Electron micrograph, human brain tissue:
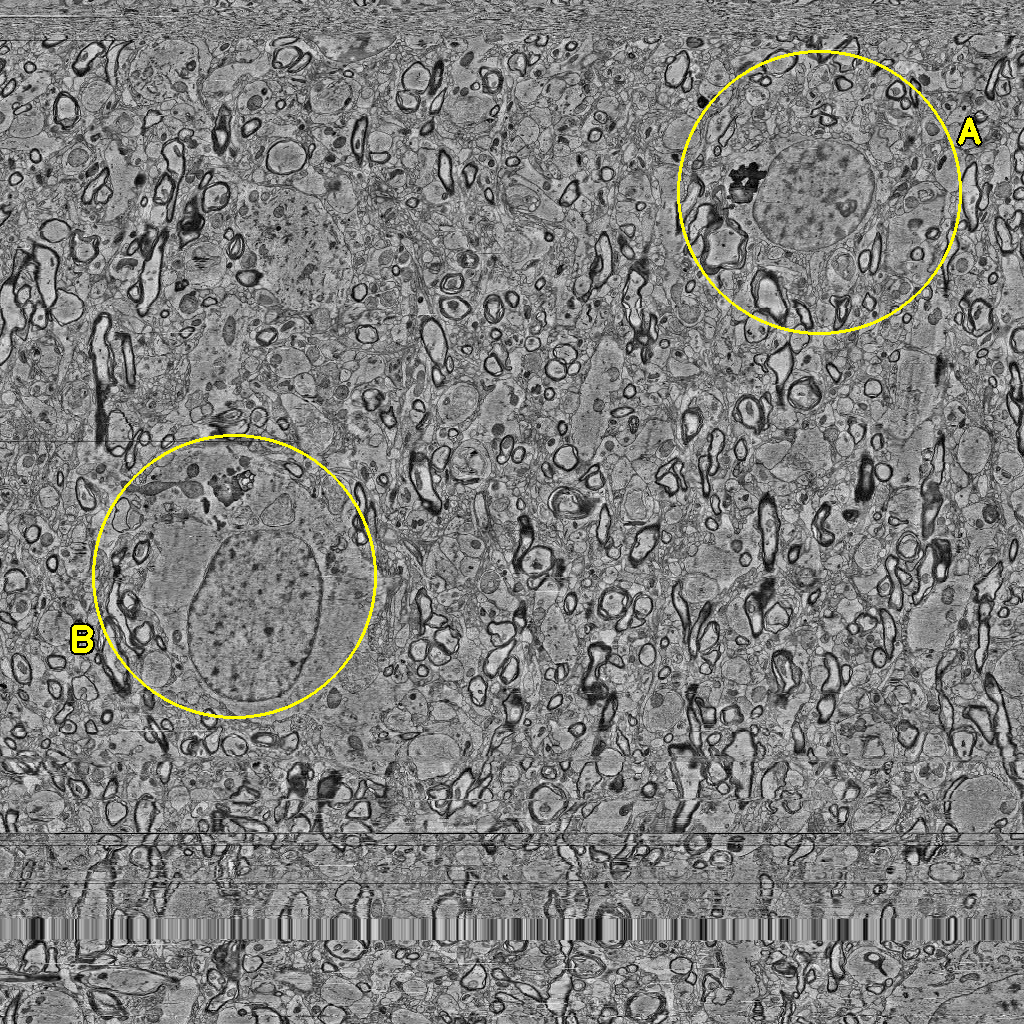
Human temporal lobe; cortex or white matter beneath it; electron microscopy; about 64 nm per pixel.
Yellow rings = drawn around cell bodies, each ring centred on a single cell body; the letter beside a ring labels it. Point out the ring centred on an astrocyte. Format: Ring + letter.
Ring B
